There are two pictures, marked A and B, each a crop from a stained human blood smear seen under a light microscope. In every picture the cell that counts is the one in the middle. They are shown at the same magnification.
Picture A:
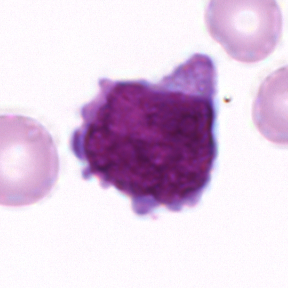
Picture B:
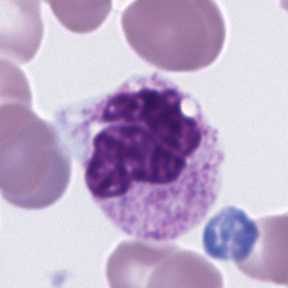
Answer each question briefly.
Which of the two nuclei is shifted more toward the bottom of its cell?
A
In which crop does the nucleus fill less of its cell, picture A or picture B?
B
